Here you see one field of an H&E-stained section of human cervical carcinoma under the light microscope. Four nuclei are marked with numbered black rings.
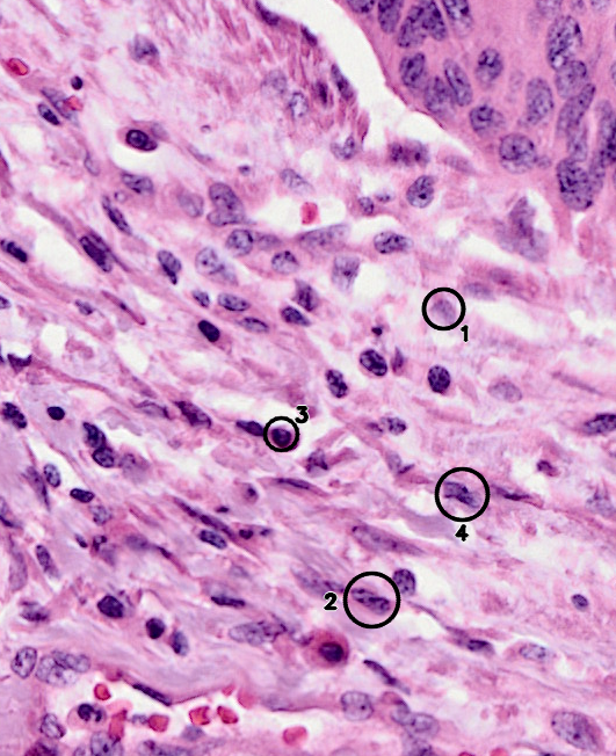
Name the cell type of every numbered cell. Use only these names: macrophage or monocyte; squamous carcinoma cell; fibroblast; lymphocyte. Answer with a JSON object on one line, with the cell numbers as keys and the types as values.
{"1": "fibroblast", "2": "macrophage or monocyte", "3": "lymphocyte", "4": "fibroblast"}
